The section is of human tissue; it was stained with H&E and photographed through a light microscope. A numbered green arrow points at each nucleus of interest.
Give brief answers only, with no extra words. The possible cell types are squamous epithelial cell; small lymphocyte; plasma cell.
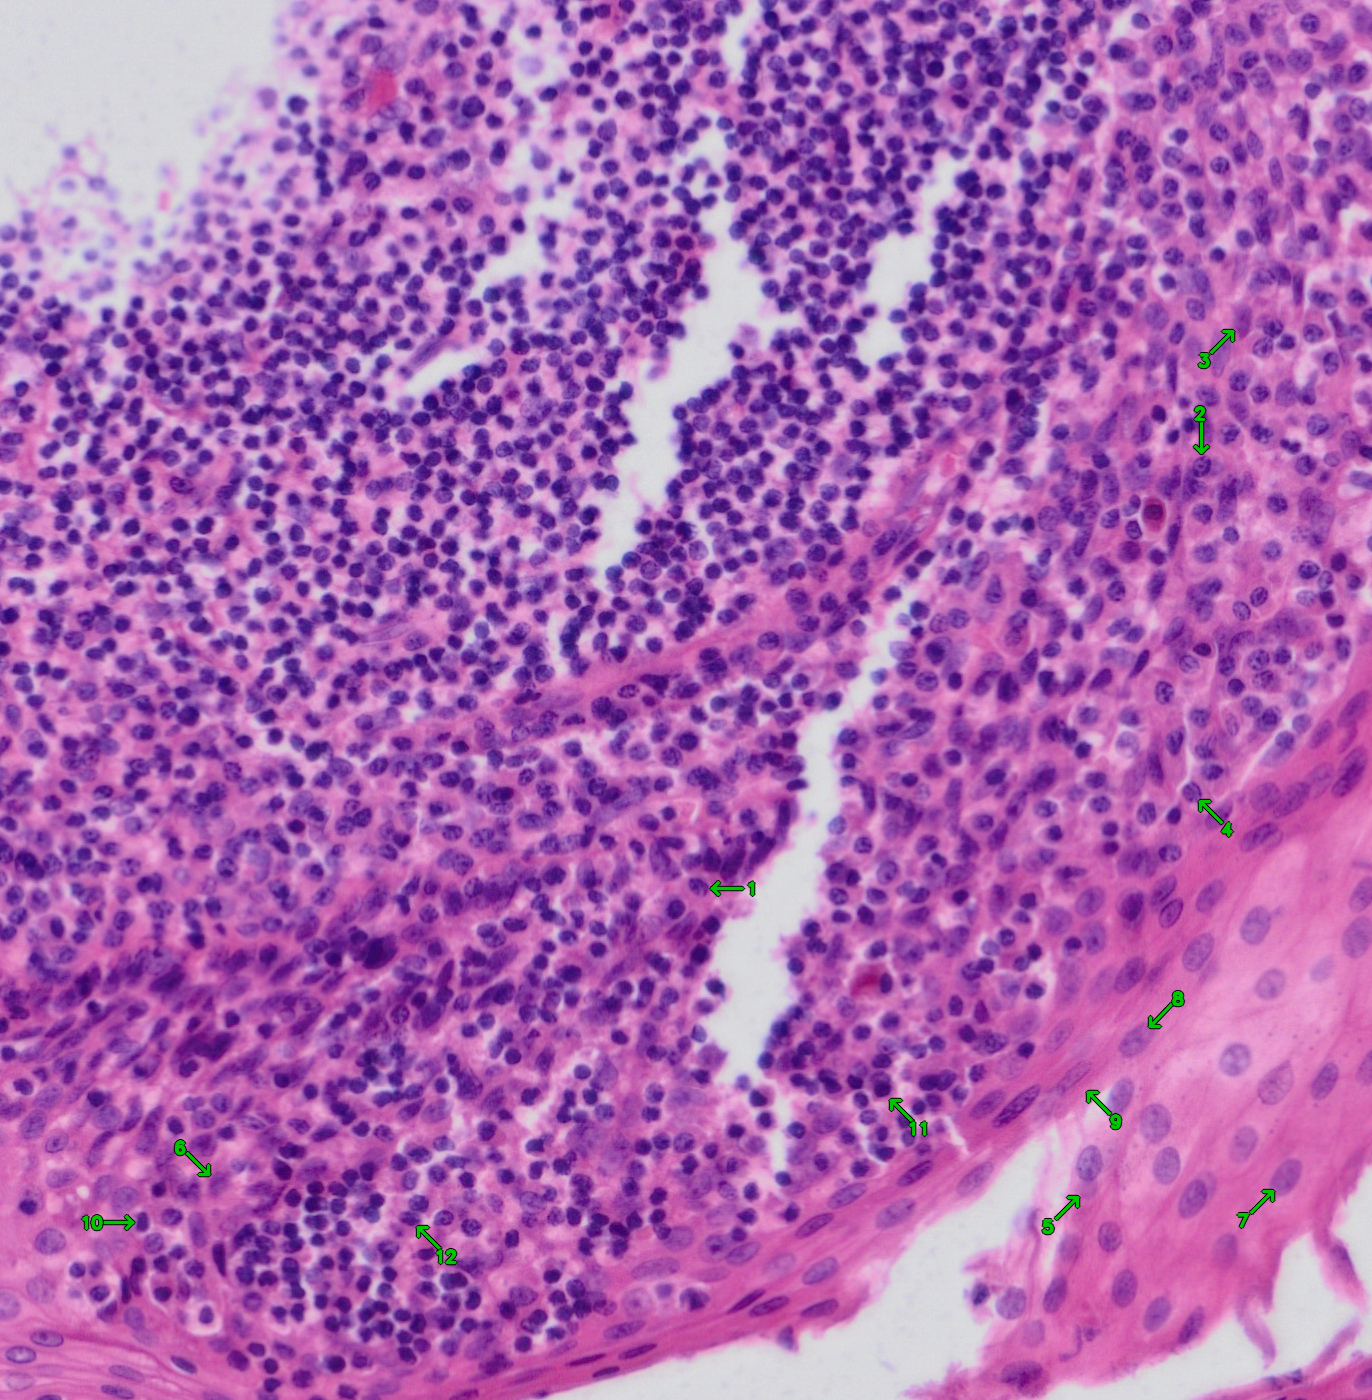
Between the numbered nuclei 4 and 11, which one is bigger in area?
4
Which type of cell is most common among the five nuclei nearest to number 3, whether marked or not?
plasma cell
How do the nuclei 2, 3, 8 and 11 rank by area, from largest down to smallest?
8, 3, 2, 11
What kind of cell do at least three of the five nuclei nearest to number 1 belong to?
squamous epithelial cell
